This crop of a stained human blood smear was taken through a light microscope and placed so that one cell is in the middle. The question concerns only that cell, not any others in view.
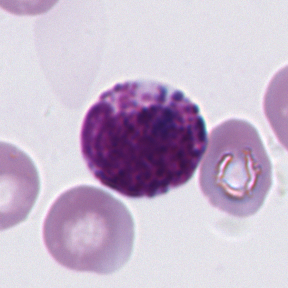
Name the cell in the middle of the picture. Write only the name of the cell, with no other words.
basophil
